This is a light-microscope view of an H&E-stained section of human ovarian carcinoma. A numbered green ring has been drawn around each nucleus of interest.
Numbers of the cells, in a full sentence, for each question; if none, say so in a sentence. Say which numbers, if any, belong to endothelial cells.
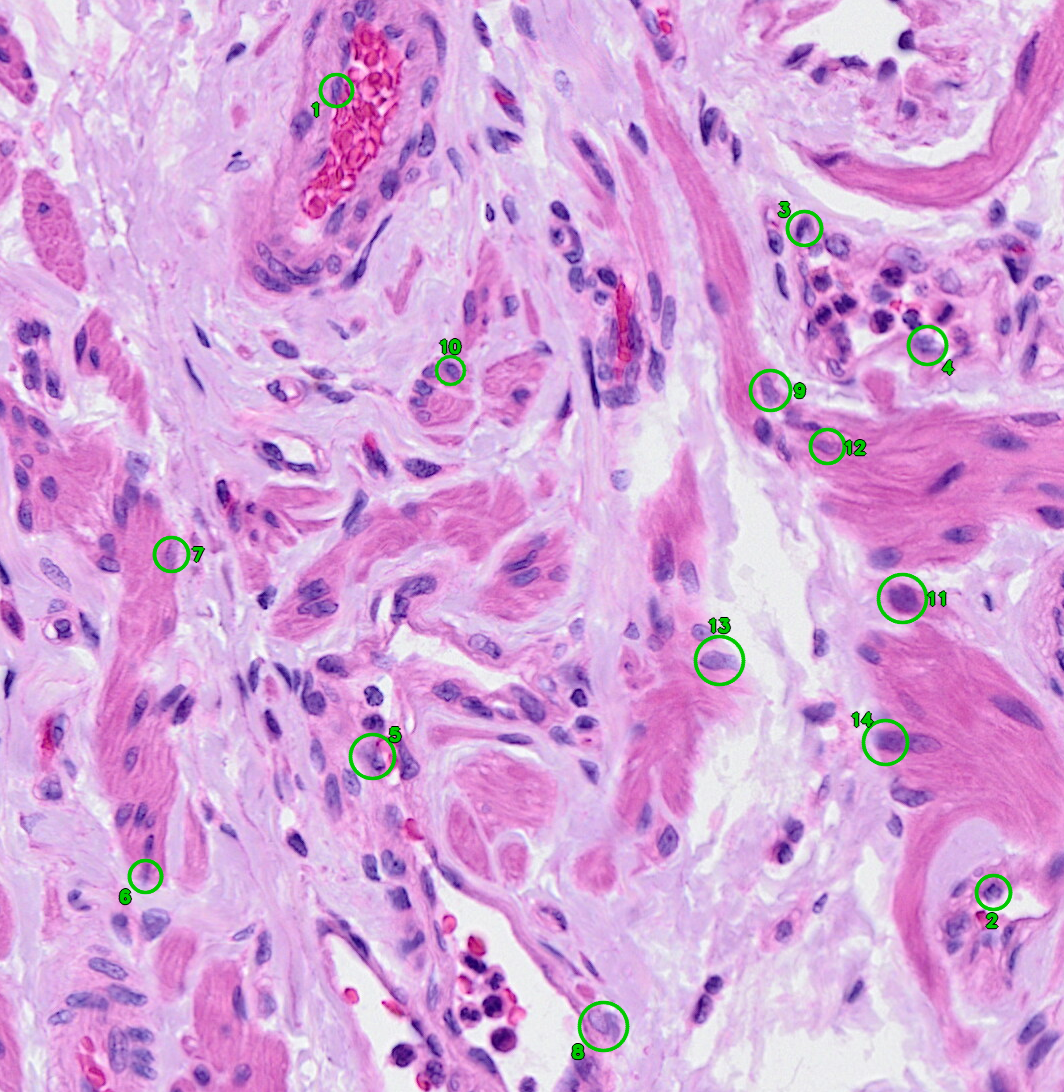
The cells marked 1, 2, 3, 4 and 5 in the section are endothelial cells.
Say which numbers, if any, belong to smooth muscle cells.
The cells referred to by numbers 6, 7, 9, 10, 11, 12, 13 and 14 are smooth muscle cells.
